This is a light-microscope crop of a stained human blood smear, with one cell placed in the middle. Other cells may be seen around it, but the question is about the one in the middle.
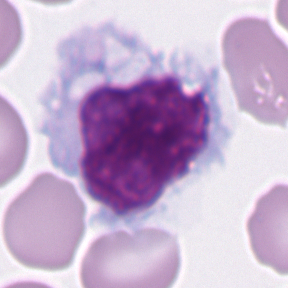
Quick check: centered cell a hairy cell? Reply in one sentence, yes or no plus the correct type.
Yes, the central cell is to be recorded as a hairy cell.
